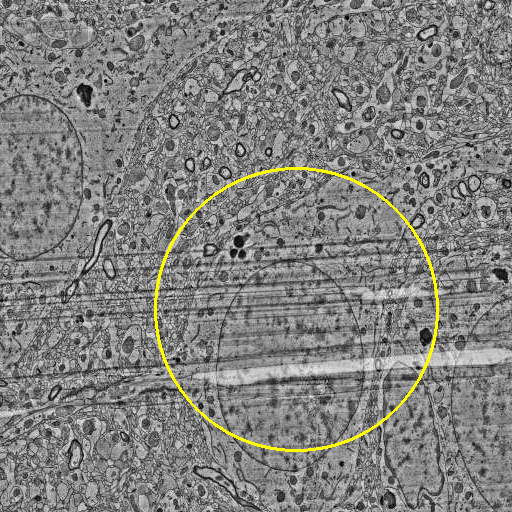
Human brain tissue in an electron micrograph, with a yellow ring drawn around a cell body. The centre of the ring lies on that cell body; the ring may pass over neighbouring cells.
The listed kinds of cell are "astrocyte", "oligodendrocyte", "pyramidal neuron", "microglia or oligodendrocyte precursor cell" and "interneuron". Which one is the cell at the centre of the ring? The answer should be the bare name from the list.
pyramidal neuron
